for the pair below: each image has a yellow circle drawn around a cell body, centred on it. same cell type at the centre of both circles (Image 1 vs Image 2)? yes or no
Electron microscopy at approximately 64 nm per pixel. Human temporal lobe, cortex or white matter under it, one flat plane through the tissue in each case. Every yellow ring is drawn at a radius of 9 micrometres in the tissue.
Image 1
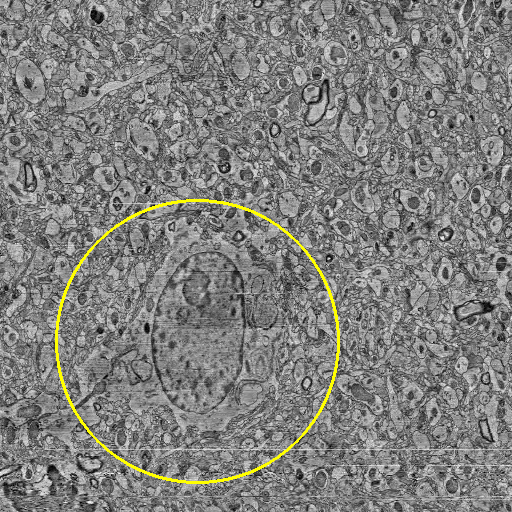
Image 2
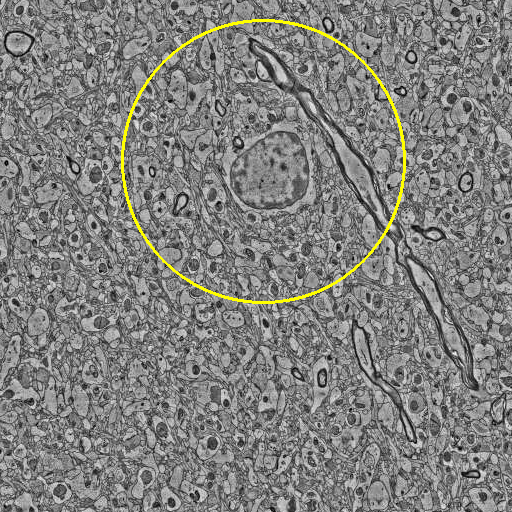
no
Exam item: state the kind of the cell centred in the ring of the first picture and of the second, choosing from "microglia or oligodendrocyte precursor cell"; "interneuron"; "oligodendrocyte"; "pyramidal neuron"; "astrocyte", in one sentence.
The first picture shows an astrocyte at the ring centre and the second shows a microglial cell or oligodendrocyte precursor cell.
